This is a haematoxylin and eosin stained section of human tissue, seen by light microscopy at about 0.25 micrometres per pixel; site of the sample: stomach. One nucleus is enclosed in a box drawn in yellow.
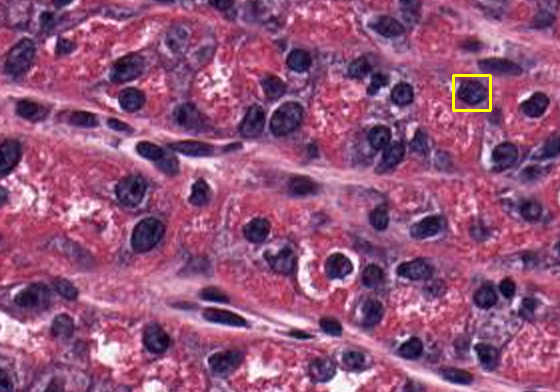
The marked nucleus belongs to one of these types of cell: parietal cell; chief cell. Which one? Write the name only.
parietal cell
